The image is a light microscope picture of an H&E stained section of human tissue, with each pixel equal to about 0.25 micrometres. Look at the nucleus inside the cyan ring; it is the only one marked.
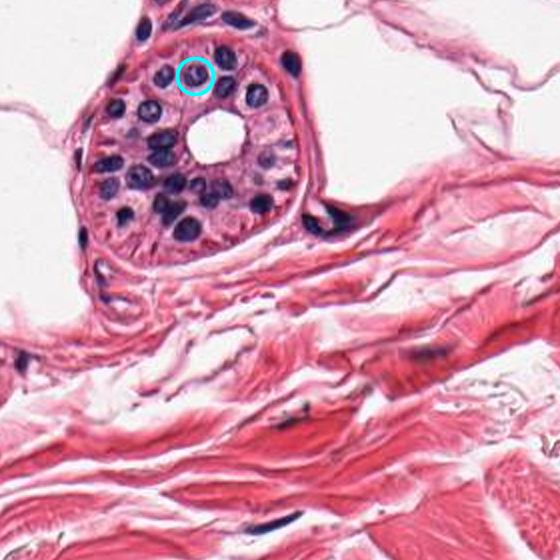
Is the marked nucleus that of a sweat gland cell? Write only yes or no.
yes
